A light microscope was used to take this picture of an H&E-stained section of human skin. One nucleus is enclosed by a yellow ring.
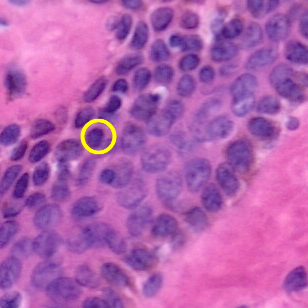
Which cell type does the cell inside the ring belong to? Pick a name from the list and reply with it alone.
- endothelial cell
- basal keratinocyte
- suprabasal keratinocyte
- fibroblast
basal keratinocyte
